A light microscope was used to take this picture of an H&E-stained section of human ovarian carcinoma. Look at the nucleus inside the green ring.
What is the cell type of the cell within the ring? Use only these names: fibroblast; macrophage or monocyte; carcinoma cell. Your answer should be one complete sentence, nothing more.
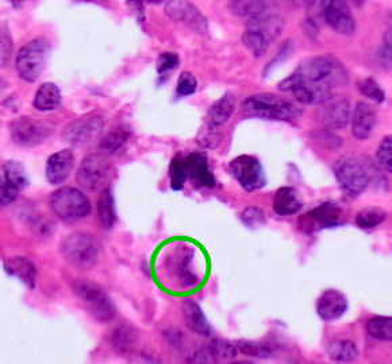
It is as a macrophage or monocyte that the cell within the ring is classified.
